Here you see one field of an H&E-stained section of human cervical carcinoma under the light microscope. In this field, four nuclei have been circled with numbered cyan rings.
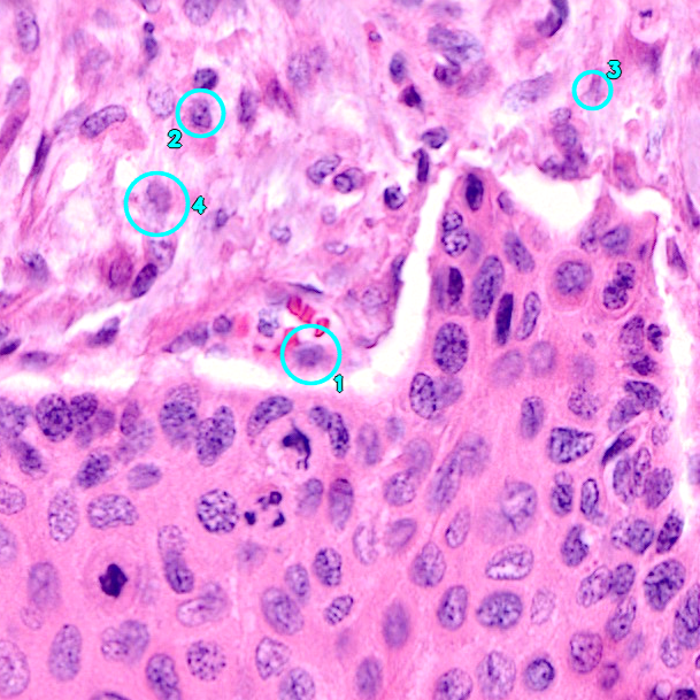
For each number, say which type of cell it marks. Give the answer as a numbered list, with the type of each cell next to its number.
1. endothelial cell
2. macrophage or monocyte
3. fibroblast
4. fibroblast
